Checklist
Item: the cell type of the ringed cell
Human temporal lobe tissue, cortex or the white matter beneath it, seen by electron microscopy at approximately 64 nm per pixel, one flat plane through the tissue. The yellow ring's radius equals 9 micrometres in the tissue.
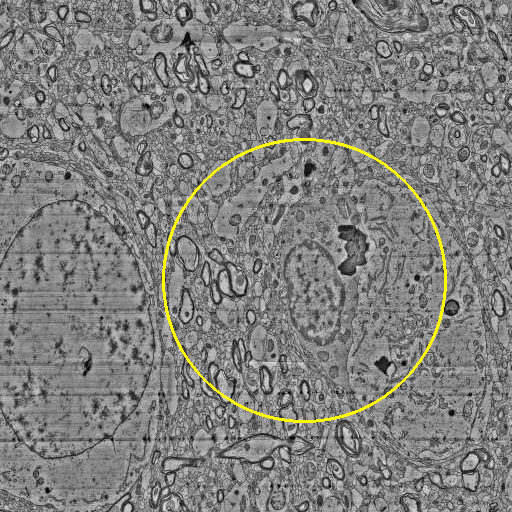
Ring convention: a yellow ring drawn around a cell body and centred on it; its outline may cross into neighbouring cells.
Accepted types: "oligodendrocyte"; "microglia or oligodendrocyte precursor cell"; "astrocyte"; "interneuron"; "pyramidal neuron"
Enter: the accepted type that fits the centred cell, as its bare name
oligodendrocyte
